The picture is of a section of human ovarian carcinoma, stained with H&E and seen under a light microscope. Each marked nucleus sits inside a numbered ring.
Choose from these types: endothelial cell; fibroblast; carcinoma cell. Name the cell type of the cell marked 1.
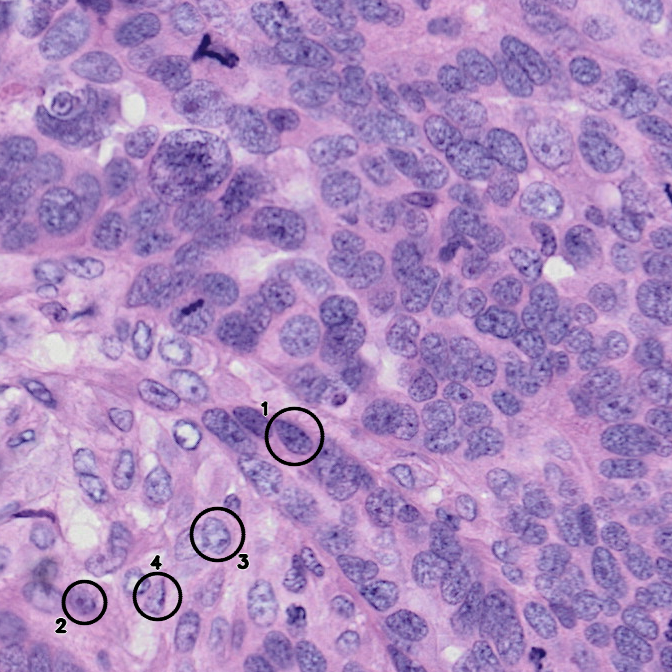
carcinoma cell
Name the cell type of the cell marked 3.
fibroblast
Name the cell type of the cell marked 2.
fibroblast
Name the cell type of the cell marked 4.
fibroblast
